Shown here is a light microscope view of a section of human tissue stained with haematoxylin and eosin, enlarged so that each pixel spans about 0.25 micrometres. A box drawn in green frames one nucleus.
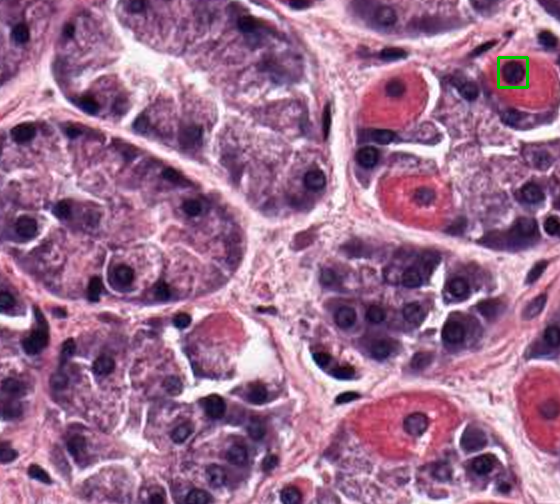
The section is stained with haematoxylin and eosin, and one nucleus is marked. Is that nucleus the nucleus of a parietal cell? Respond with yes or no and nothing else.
yes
